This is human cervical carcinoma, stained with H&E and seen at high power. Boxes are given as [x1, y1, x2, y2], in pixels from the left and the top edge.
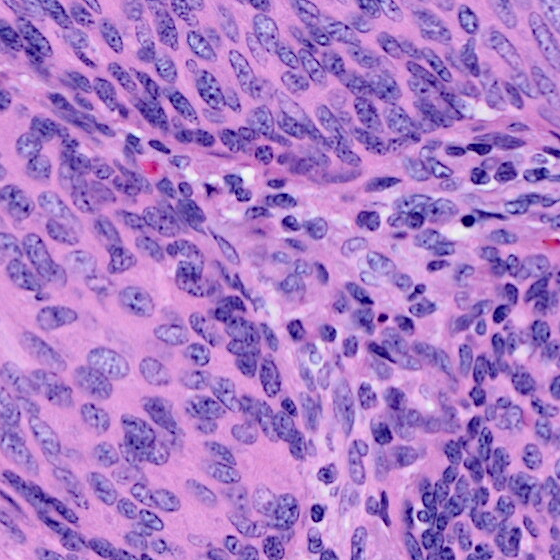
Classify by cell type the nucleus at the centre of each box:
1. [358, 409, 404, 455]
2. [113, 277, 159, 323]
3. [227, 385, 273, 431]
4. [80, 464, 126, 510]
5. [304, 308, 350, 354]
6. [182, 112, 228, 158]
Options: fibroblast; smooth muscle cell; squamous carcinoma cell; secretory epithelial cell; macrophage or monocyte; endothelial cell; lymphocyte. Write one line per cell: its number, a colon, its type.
1: lymphocyte
2: squamous carcinoma cell
3: squamous carcinoma cell
4: squamous carcinoma cell
5: lymphocyte
6: squamous carcinoma cell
